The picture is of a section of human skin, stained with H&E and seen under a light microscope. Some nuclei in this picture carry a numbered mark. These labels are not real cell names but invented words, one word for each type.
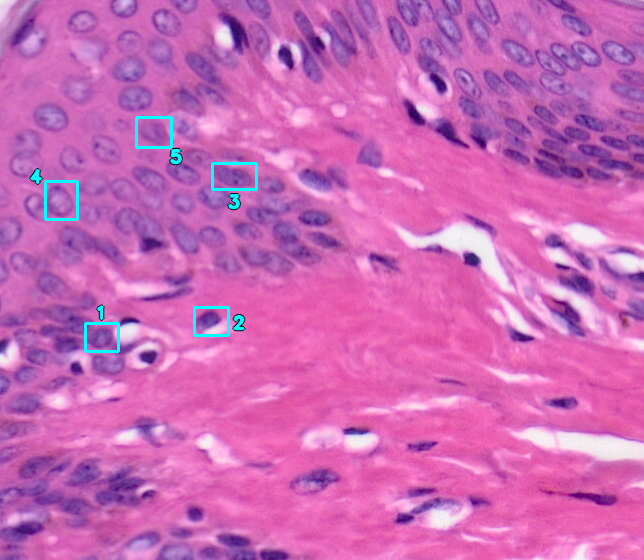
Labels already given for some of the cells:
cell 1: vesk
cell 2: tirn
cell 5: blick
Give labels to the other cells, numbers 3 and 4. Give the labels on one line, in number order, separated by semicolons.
vesk; blick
